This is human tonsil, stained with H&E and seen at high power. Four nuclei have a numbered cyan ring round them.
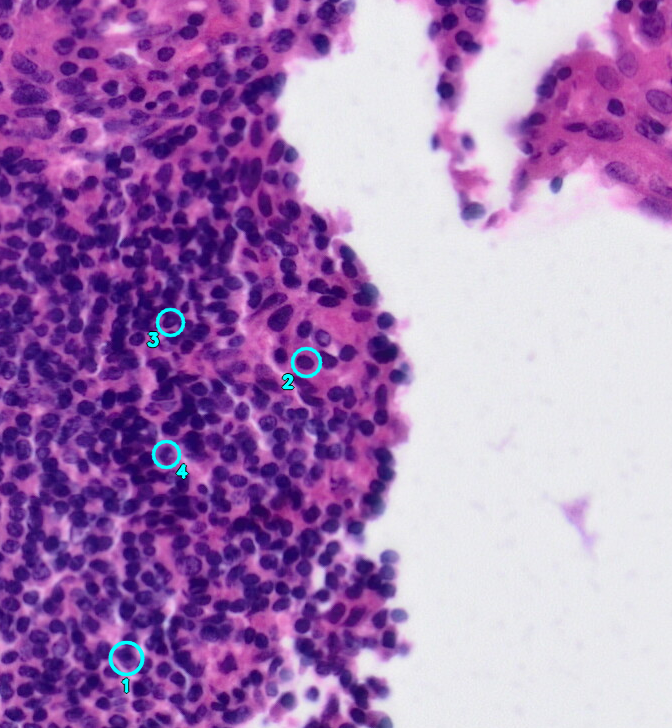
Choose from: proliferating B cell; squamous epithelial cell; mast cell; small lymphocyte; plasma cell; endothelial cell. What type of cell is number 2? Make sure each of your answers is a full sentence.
Cell 2, as marked in the section, is a plasma cell.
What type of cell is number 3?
The cell given label 3 is a small lymphocyte.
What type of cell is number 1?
The cell that bears the number 1 is a small lymphocyte.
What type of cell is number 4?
The numeral 4 marks a small lymphocyte in this section.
